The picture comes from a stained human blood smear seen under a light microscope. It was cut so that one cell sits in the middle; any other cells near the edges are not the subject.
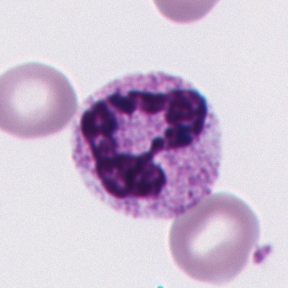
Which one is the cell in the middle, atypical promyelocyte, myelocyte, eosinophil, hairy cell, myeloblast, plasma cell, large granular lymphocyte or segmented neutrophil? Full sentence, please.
The cell nearest the centre of this crop is a segmented neutrophil.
